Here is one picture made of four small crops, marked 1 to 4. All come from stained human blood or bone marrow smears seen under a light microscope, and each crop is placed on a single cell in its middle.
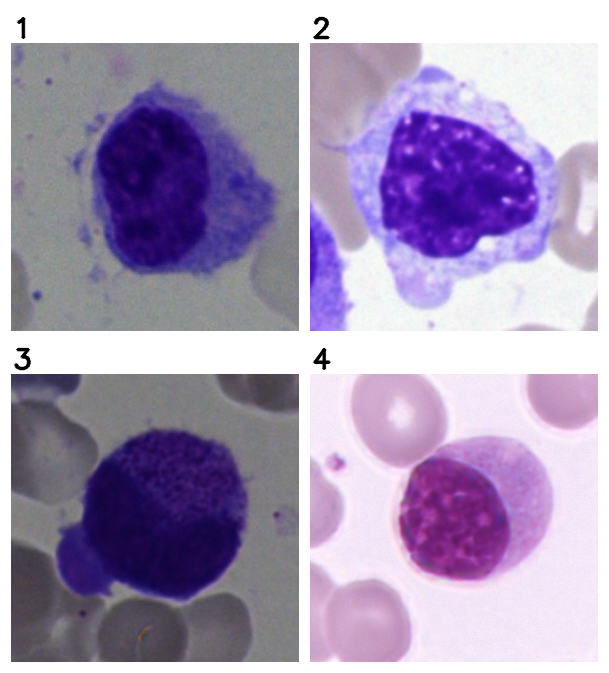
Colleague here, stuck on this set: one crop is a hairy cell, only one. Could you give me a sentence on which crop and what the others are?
Crop 1 corresponds to a hairy cell, while crop 2 is a monocyte, crop 3 is a blast and crop 4 is a plasma cell.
